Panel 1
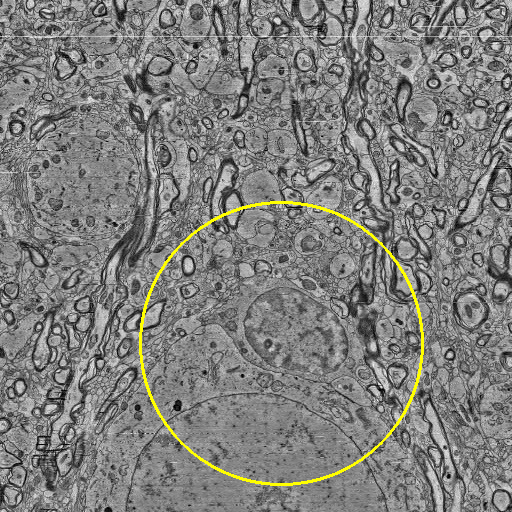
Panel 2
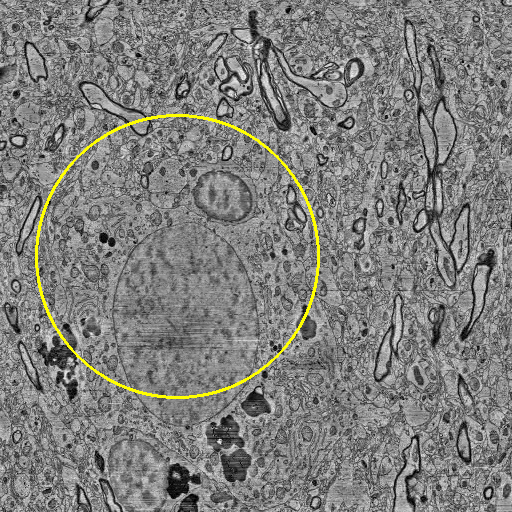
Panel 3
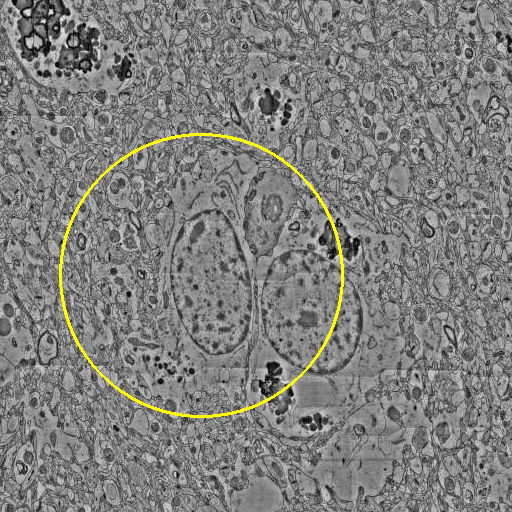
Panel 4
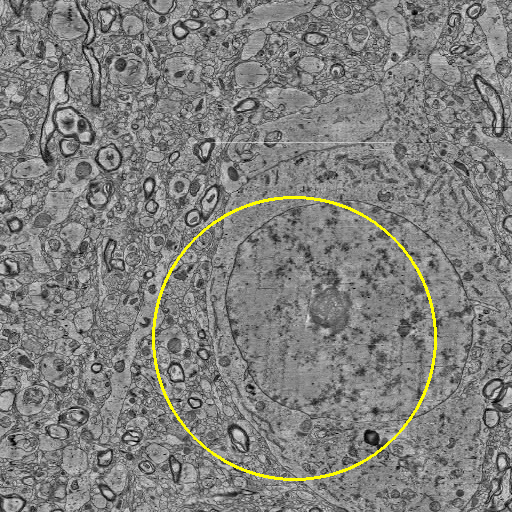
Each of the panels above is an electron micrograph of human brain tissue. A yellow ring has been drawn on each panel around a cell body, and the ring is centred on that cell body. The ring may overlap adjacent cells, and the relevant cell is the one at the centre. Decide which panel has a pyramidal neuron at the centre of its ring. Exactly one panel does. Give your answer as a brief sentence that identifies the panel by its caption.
Panel 4 is the one with it at the centre of the ring.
